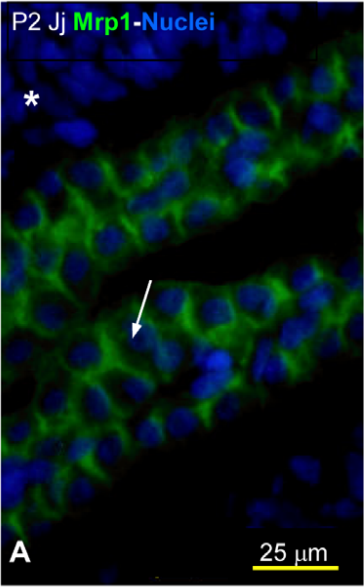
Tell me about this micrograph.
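This is choroid plexus epithelium beside brain parenchyma. Two parallel cords of closely packed cuboidal epithelial cells run diagonally across the field, separated by dark spaces. Each cell has a round to oval blue nucleus, and a green line outlines the borders between neighbouring cells, giving a honeycomb pattern. Outside the cords, at the upper left, lies tissue with scattered blue nuclei and no green outlines.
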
